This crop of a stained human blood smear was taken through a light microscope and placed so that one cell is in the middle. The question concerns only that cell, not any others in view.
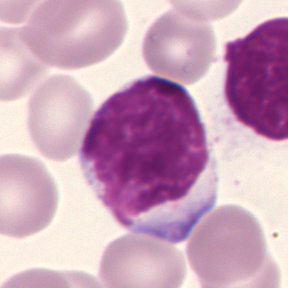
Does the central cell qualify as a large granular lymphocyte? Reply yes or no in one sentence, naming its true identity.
Yes, the middle cell is properly termed a large granular lymphocyte.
